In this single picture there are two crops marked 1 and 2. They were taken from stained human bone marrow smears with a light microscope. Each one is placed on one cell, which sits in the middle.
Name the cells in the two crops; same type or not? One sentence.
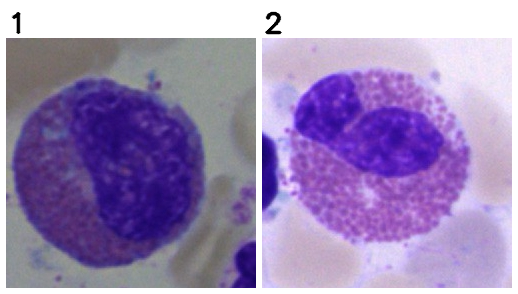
Yes, eosinophils are the cells shown in both crops.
